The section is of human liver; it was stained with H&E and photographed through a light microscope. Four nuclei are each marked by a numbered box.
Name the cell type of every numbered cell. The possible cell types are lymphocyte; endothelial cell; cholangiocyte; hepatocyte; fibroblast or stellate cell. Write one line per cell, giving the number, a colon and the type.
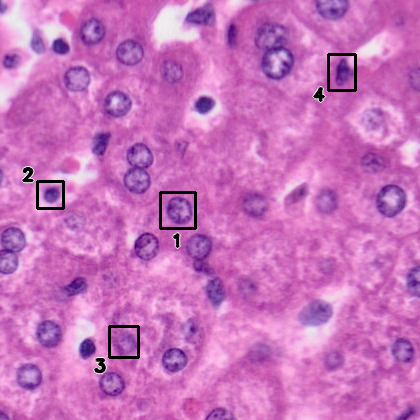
1: hepatocyte
2: lymphocyte
3: hepatocyte
4: fibroblast or stellate cell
